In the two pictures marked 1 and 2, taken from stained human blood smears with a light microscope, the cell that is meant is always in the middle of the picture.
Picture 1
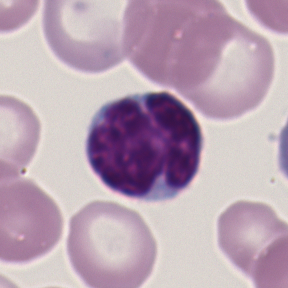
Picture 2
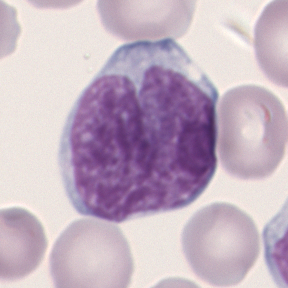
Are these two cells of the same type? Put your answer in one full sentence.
No. Picture 1 shows a typical lymphocyte, but picture 2 shows a myeloblast.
